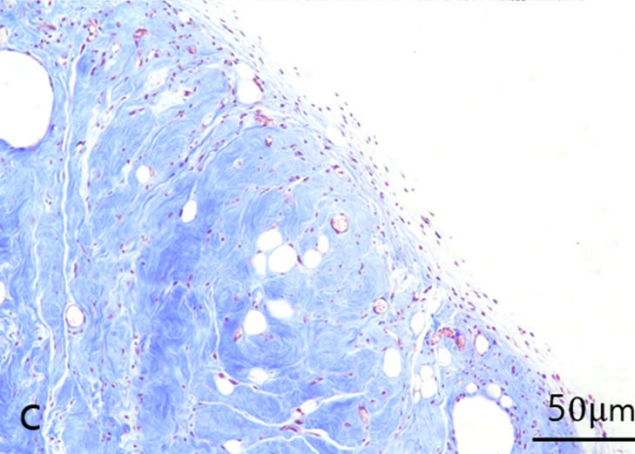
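Small dark red-purple nuclei, mostly elongated, are scattered throughout the fibres and are more crowded along the outer edge of the mass, where the fibres run parallel to the surface. Numerous round and oval clear spaces of varying size are interspersed within the blue matrix. A few small vessel-like profiles with reddish walls lie among the fibres near the edge.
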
